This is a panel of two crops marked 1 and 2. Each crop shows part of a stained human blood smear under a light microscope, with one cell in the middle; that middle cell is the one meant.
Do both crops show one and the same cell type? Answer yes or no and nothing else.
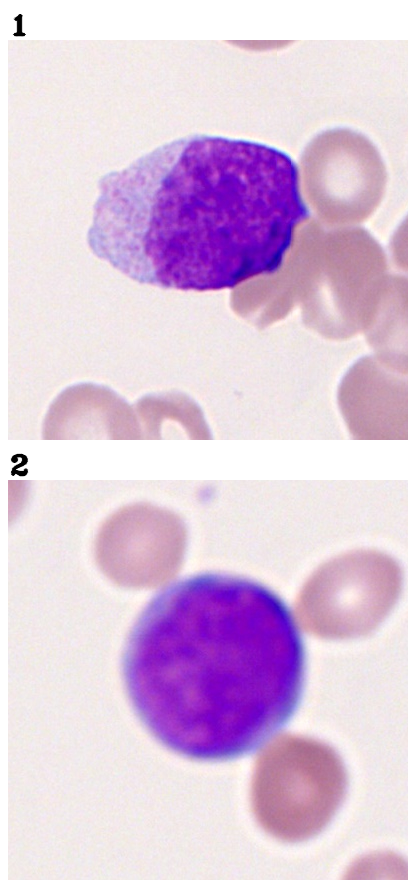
yes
